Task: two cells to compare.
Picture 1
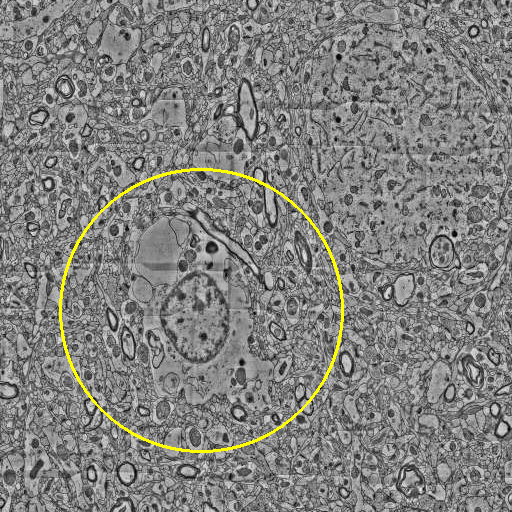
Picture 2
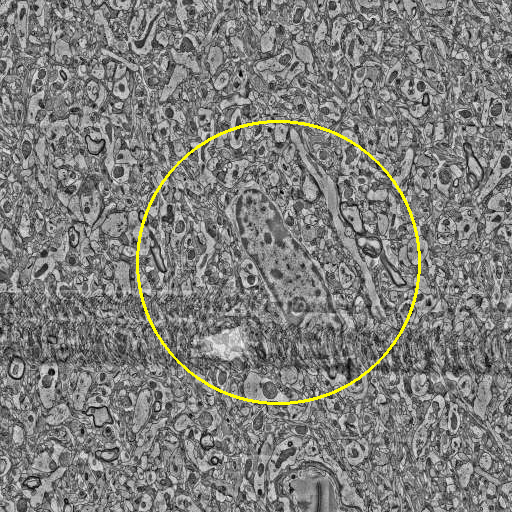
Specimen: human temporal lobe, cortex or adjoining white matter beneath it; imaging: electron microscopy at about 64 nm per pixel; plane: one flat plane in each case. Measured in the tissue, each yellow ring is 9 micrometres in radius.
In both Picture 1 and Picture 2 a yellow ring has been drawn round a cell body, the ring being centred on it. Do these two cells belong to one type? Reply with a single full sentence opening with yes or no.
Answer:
No, the two cells at the ring centres in Picture 1 and Picture 2 are of two types.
